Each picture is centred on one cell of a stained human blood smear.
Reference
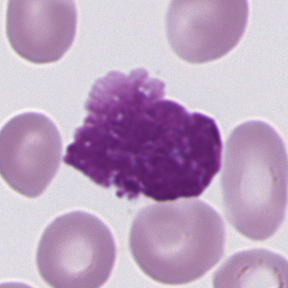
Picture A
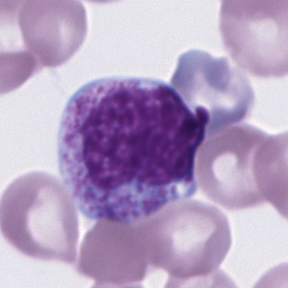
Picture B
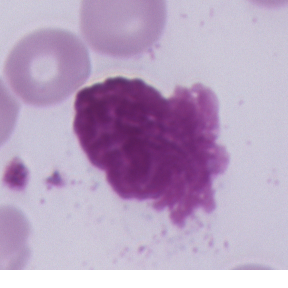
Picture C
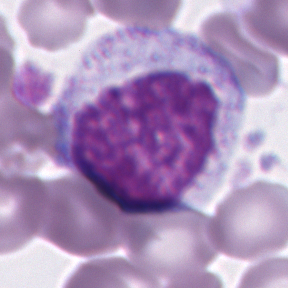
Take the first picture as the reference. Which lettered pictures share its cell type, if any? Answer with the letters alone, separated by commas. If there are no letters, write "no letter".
B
